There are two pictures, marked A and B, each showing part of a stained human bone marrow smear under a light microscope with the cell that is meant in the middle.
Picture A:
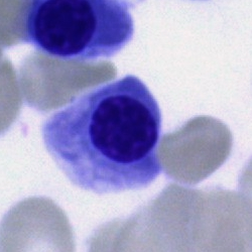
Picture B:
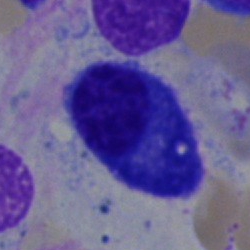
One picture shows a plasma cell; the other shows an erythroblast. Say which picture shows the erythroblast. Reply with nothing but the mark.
A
